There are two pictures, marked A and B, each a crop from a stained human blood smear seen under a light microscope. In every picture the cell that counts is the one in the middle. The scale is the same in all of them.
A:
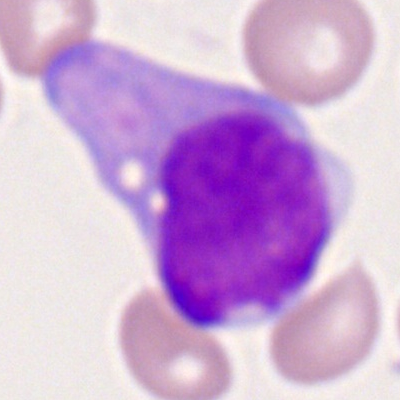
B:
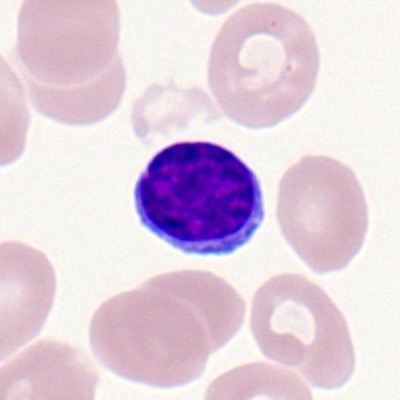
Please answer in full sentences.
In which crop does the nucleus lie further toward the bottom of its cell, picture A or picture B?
In picture A the nucleus is shifted more toward the bottom.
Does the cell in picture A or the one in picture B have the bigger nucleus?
Larger is the nucleus in picture A, at roughly 3 times the area of the other.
